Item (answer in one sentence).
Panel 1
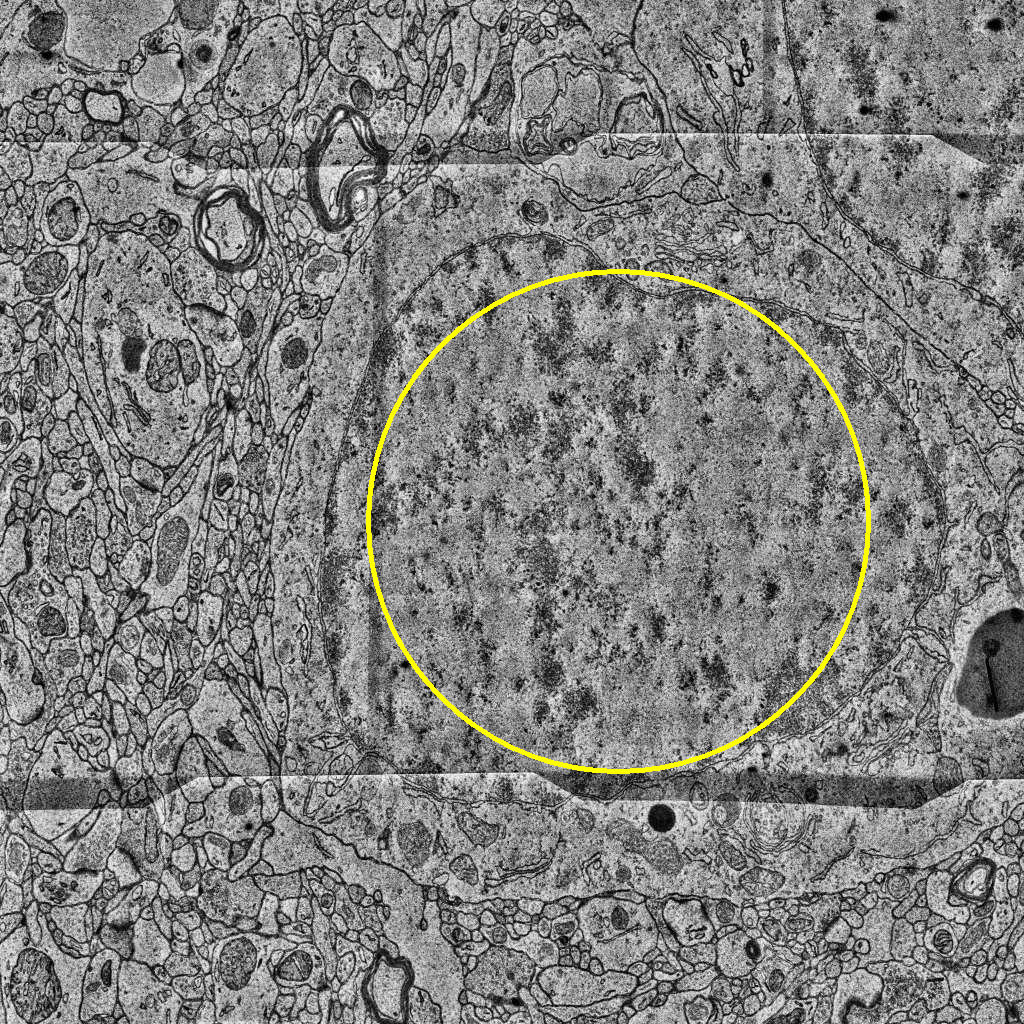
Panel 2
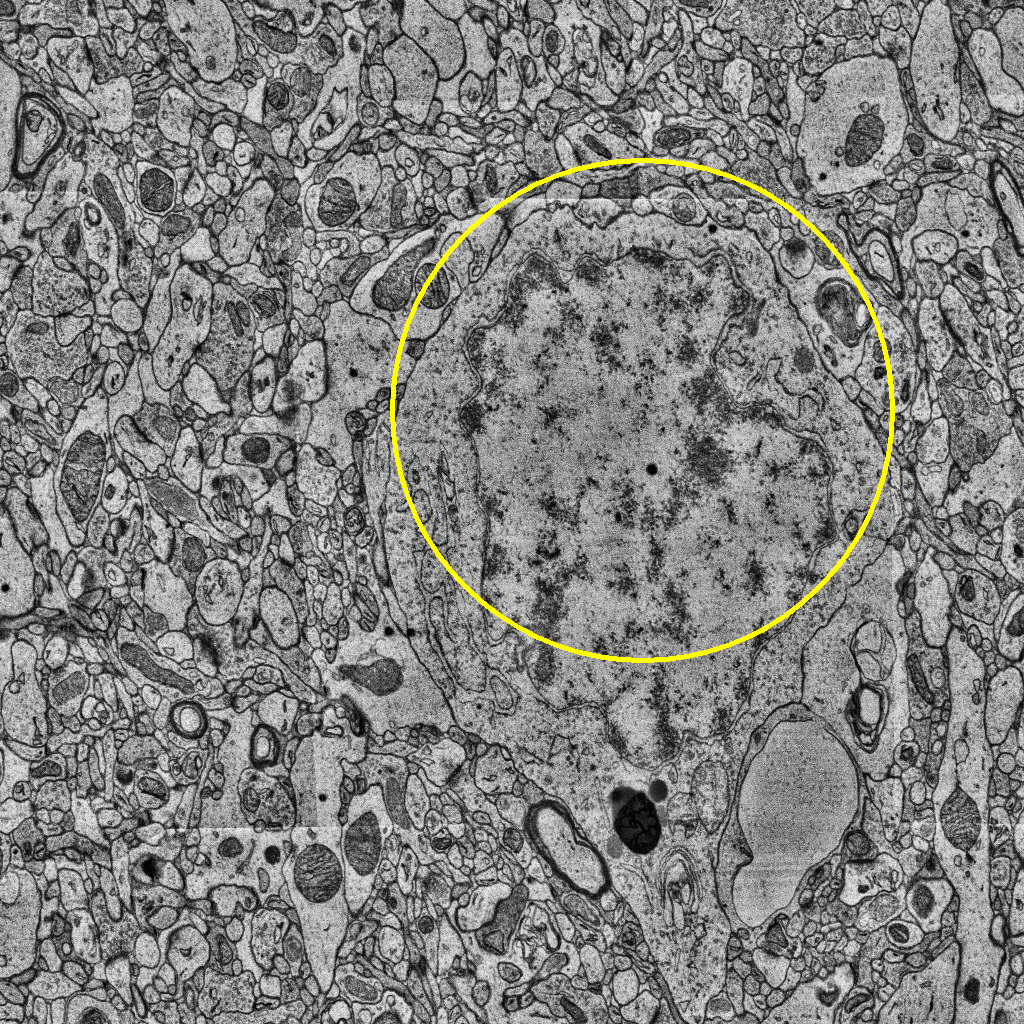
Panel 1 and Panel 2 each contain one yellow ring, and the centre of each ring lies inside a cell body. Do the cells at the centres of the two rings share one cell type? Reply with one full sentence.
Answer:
Yes, Panel 1 and Panel 2 show cells of one type at the centres of their rings.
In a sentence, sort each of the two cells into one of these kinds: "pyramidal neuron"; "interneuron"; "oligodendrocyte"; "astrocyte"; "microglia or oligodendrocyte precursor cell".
The cell in the first picture is an interneuron, and so is the one in the second.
